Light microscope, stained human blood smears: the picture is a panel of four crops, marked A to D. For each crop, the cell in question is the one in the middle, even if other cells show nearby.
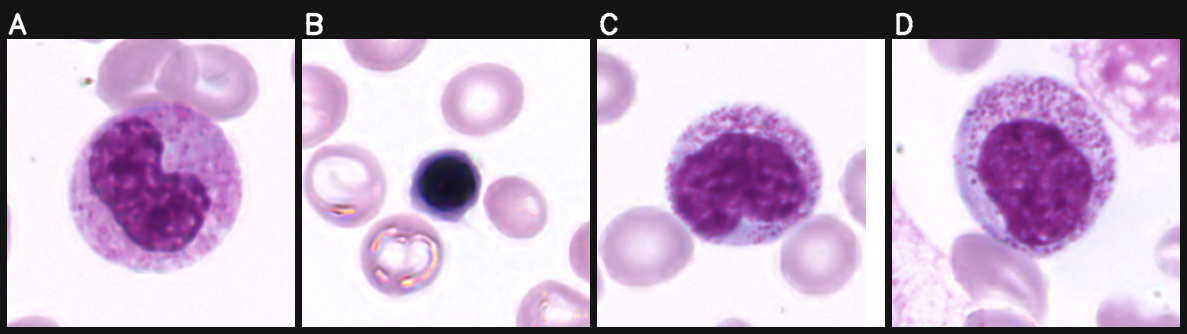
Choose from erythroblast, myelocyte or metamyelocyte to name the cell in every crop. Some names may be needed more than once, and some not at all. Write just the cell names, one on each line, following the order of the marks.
metamyelocyte
erythroblast
metamyelocyte
metamyelocyte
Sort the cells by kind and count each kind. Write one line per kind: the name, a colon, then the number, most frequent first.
metamyelocyte: 3
erythroblast: 1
